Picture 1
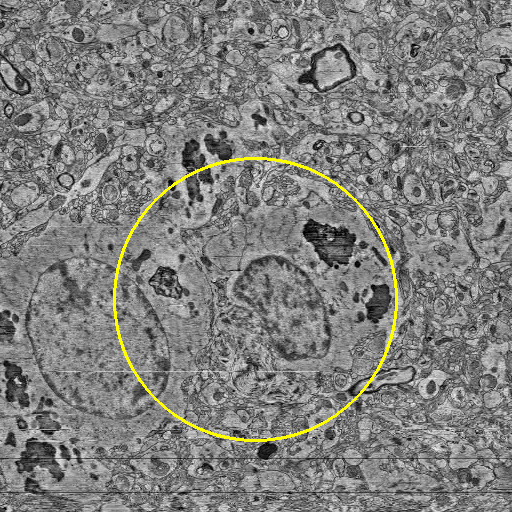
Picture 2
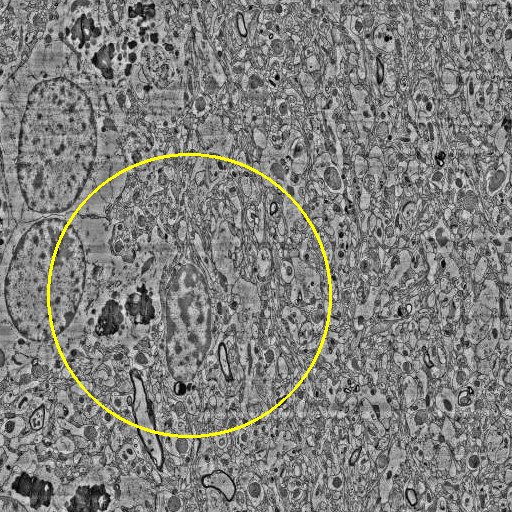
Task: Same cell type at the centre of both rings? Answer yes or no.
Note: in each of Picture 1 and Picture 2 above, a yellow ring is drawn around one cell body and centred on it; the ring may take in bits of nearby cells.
no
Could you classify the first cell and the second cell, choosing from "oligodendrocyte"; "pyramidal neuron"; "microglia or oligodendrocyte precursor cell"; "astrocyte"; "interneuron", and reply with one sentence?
The second cell is a microglial cell or oligodendrocyte precursor cell, while the first is an astrocyte.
